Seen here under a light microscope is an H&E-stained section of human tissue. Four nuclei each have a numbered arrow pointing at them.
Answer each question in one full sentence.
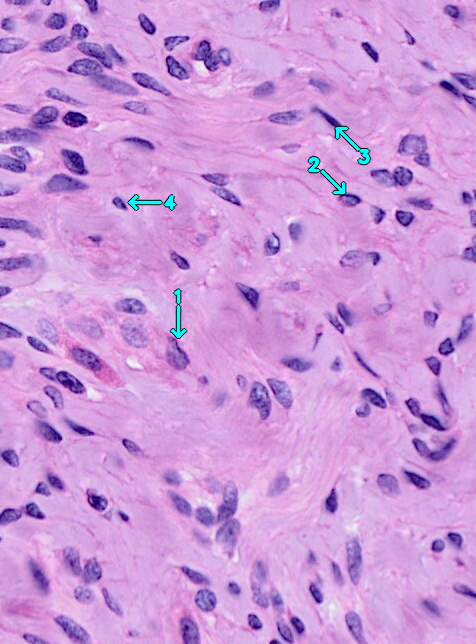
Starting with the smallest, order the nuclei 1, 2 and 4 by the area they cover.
The order from the smallest nucleus to the largest is 4, 2, 1.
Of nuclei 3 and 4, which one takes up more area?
At about 2 times the area of nucleus 4, nucleus 3 is the larger of the two.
